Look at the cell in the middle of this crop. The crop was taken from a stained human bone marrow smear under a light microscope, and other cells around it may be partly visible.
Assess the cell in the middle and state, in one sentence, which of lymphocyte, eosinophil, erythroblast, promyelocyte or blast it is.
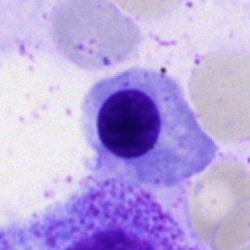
The central element of this crop is a cell, namely an erythroblast.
